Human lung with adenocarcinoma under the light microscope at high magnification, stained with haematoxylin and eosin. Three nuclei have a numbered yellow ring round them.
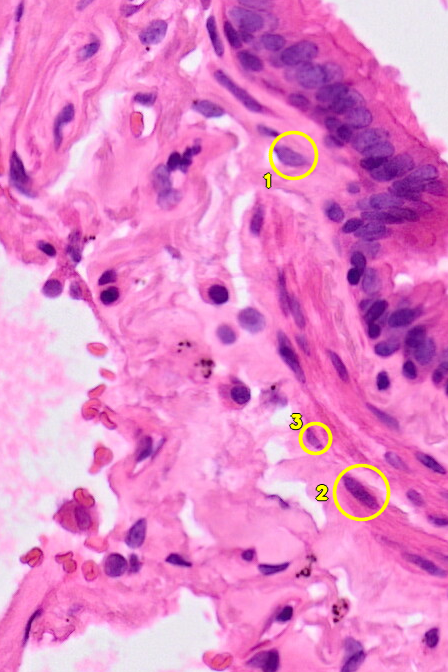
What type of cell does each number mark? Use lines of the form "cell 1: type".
cell 1: fibroblast
cell 2: smooth muscle cell or pericyte
cell 3: smooth muscle cell or pericyte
